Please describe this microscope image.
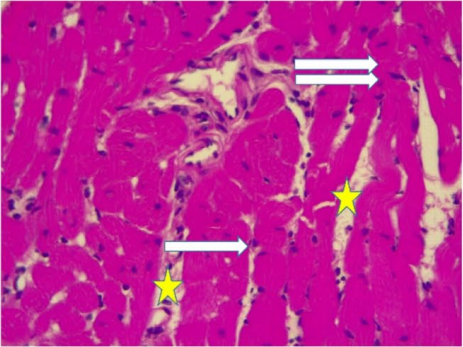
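This is heart muscle with cardiac muscle fibers running mostly lengthwise, pink-stained and separated by irregular pale spaces. Compared with compact muscle, the fibers look loosened, with wispy, pale, vacuolated areas between and within them. Purple nuclei are scattered along the fibers; some look small and dark. Near the top centre a cluster of nuclei lies in a loose interstitial area between fiber bundles. Several widened clefts contain pale, finely fibrous material. The overall arrangement is less orderly than tightly packed heart muscle.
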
